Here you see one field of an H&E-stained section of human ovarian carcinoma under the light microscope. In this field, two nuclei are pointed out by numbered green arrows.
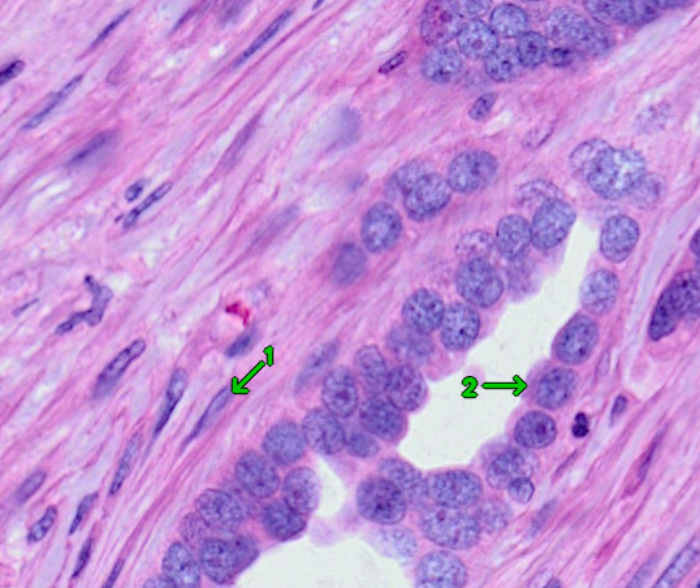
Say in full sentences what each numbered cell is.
Cell 1 is a fibroblast. Cell 2 is a carcinoma cell.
